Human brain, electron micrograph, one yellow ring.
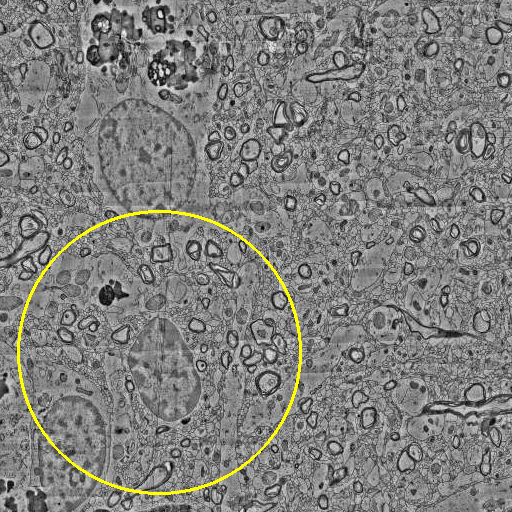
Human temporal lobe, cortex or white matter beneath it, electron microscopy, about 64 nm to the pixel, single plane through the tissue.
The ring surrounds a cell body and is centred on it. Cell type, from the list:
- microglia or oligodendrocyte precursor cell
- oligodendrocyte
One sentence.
The yellow ring circles a microglial cell or oligodendrocyte precursor cell.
